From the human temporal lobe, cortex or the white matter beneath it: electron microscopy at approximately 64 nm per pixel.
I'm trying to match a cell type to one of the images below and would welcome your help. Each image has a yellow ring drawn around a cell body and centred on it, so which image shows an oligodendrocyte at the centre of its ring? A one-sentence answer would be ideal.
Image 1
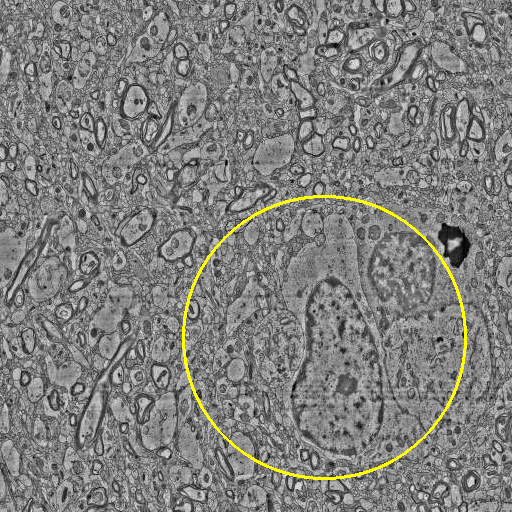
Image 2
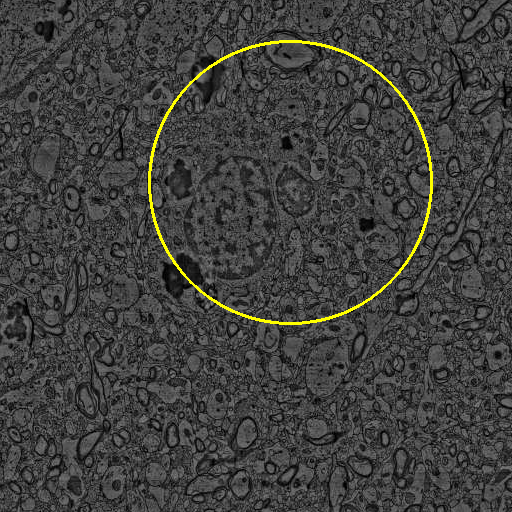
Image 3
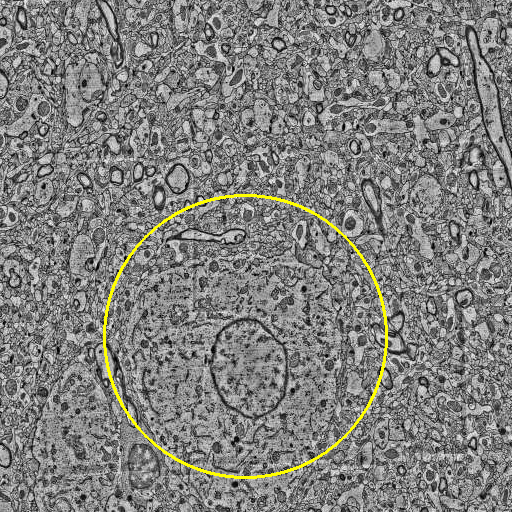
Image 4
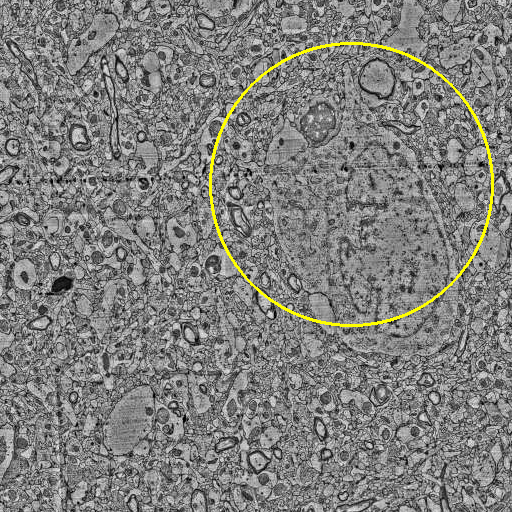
Image 2 shows it at the centre of the ring.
